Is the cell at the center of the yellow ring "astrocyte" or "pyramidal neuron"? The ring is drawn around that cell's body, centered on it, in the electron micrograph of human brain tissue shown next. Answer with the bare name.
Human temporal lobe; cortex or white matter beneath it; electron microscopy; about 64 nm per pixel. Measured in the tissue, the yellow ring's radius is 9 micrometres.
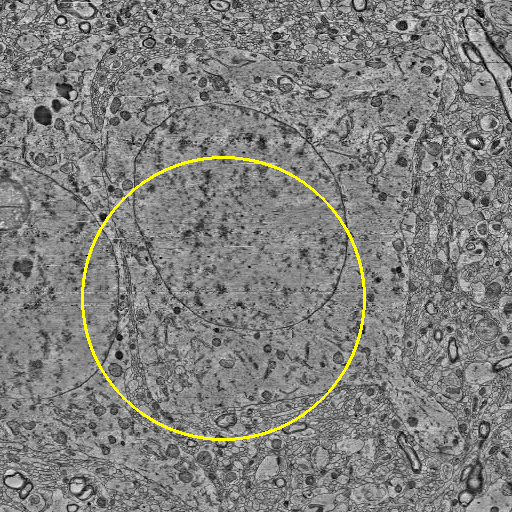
pyramidal neuron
